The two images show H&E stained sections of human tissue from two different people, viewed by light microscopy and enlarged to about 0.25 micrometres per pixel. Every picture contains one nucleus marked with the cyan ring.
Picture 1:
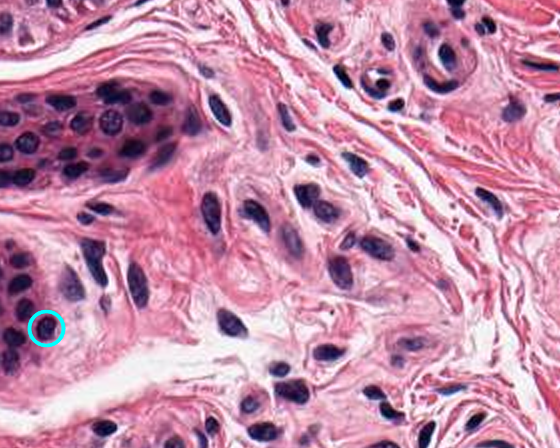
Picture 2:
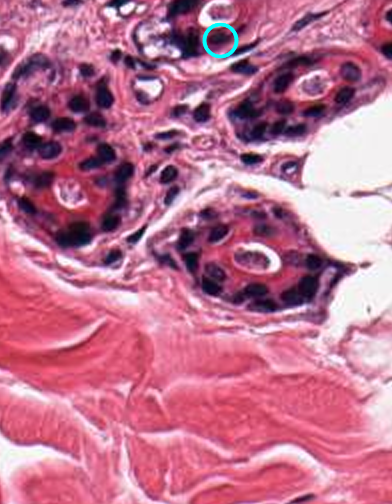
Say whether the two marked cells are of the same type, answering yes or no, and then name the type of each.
Yes, both are sweat gland cells.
